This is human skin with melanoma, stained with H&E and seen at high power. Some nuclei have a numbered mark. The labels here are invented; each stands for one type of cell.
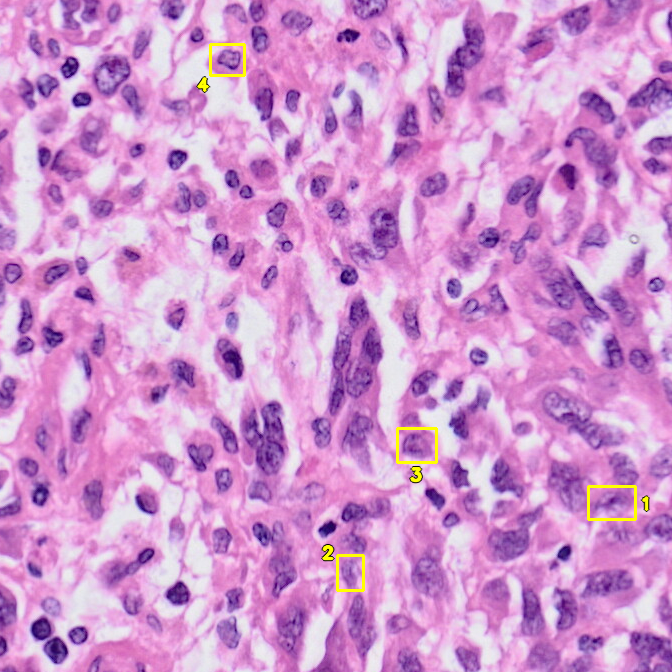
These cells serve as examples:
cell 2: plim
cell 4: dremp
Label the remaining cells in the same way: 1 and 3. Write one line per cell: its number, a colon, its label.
1: plim
3: plim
